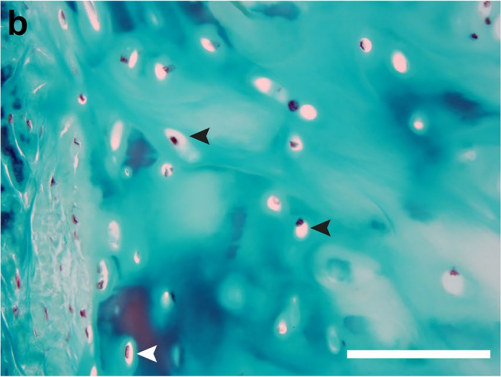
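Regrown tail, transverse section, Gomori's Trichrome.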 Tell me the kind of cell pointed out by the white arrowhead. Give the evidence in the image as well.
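Marked cell lies near the left edge of the matrix toward the fibrous tissue.
Smaller, denser chondrocytes.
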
